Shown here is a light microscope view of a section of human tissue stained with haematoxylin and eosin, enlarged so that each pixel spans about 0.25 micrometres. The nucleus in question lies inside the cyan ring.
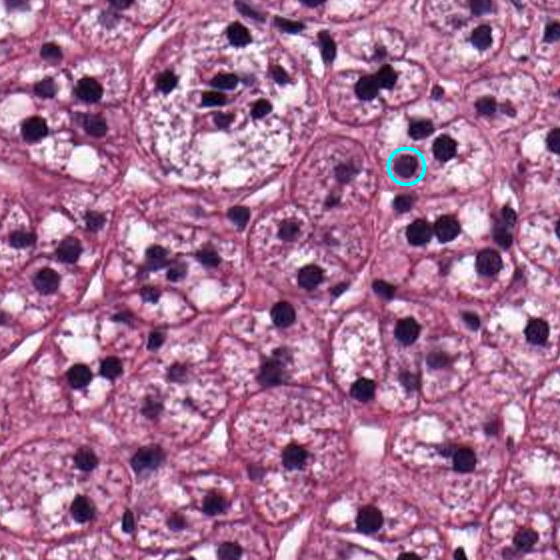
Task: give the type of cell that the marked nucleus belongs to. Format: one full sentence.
A nucleus of an adrenal cortical cell is the one that is marked.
